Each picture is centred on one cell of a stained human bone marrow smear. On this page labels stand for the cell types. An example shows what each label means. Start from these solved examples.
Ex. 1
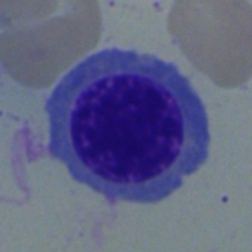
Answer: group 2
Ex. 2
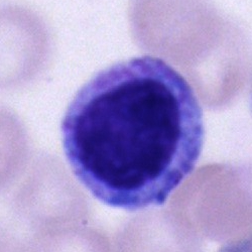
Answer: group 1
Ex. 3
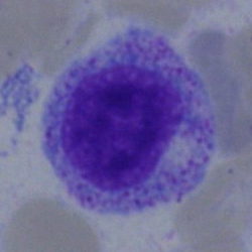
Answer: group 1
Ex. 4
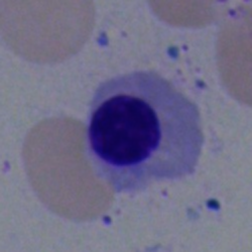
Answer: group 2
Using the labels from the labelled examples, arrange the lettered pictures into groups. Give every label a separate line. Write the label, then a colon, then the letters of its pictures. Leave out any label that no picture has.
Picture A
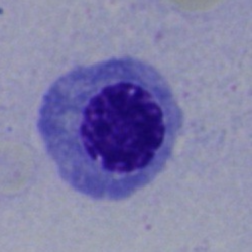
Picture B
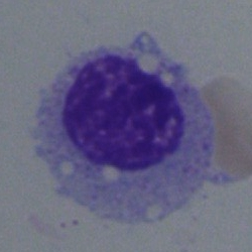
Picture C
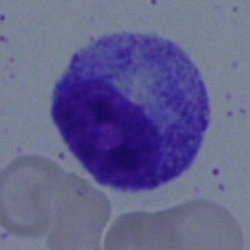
group 2: A
group 1: B, C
